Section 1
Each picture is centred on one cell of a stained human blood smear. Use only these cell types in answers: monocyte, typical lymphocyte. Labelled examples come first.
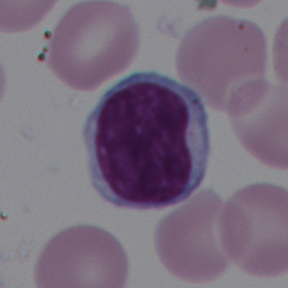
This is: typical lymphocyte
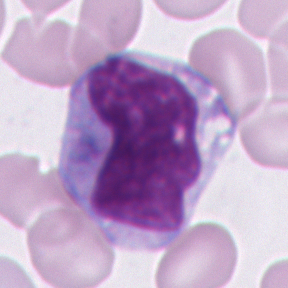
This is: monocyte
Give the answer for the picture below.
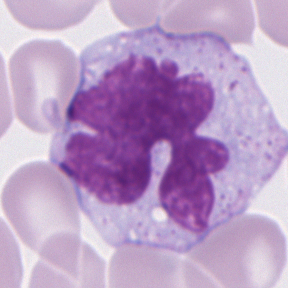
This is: monocyte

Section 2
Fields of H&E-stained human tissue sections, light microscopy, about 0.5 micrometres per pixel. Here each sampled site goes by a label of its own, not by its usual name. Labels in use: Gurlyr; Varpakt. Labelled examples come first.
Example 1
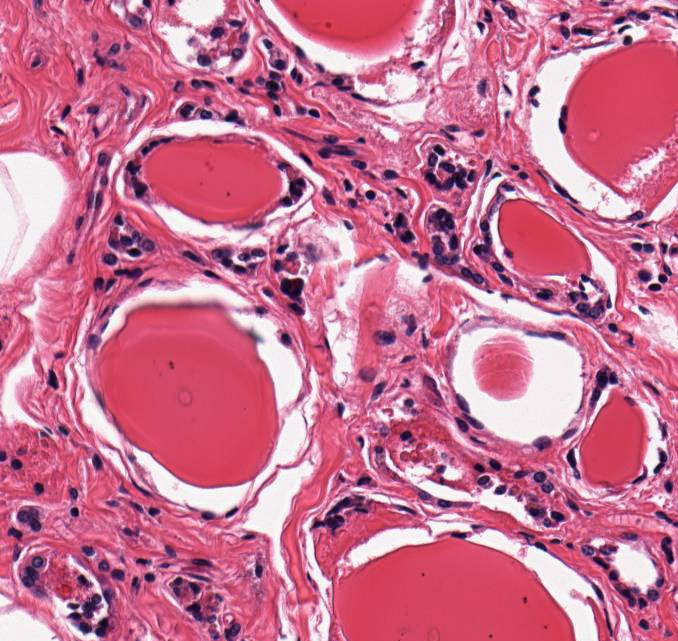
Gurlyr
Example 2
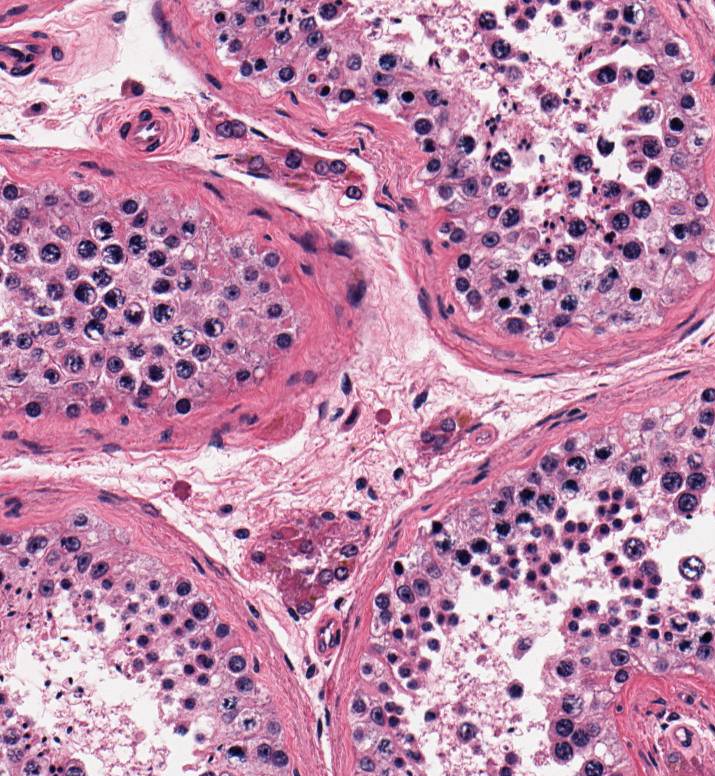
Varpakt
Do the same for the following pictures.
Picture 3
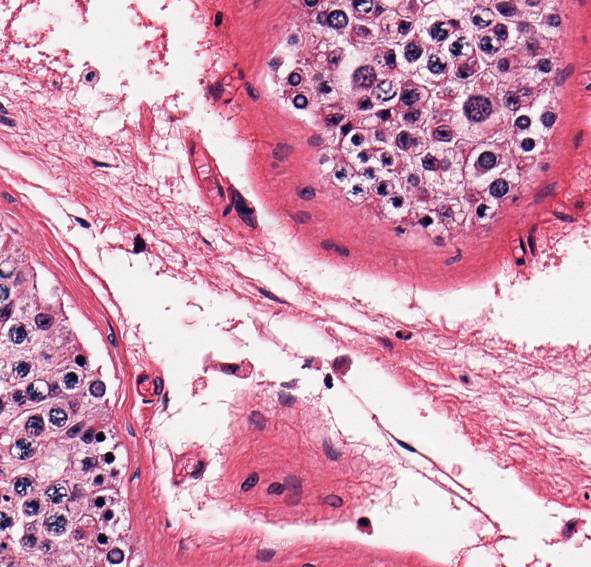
Varpakt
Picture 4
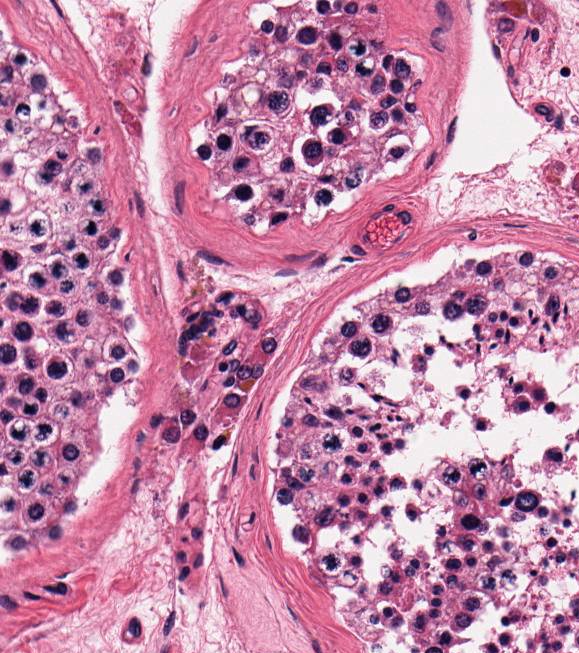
Varpakt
